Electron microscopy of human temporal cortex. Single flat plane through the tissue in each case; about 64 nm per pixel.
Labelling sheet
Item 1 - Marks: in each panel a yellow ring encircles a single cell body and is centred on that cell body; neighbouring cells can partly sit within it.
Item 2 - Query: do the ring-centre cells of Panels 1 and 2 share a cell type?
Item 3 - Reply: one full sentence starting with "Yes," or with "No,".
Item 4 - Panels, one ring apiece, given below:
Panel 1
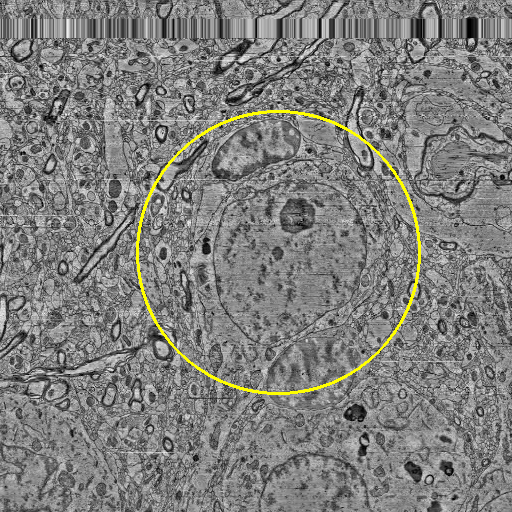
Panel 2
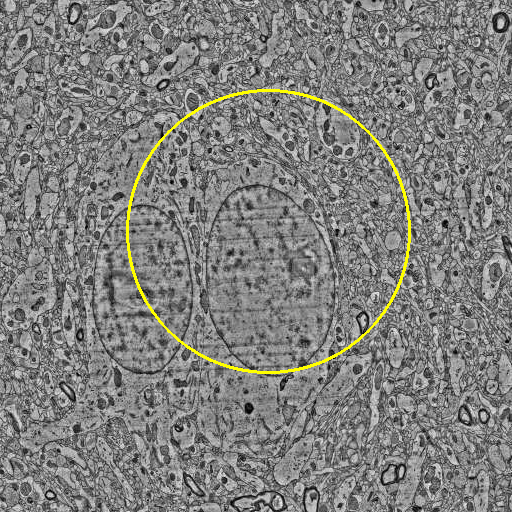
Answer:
Yes, Panel 1 and Panel 2 show one cell type at the centres of their rings.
